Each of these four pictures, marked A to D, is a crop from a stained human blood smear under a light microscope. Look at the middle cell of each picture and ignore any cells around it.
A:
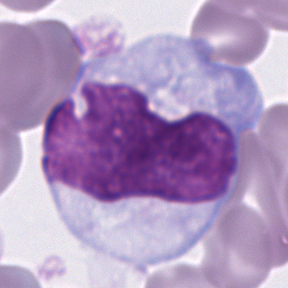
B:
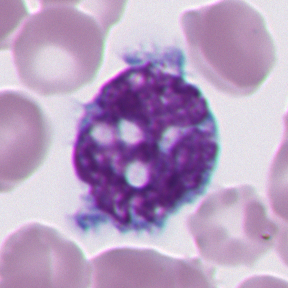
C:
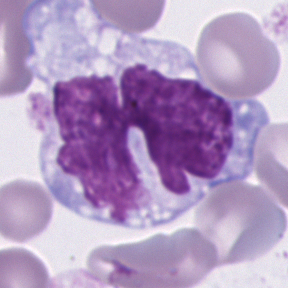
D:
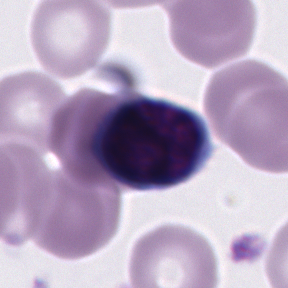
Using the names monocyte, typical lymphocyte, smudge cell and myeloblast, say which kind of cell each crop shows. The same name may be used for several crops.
A: monocyte
B: monocyte
C: monocyte
D: typical lymphocyte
